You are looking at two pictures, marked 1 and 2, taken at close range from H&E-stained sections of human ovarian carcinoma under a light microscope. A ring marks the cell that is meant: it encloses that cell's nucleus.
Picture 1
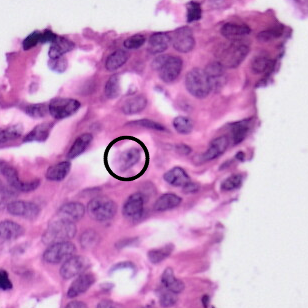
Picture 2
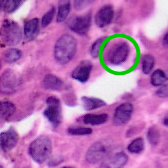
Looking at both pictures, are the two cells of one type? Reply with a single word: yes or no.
no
